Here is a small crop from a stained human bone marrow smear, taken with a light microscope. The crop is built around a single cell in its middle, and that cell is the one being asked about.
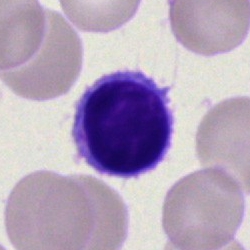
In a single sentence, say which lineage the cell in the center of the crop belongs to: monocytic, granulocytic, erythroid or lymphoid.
The cell at the middle of this crop is assigned to the lymphoid lineage.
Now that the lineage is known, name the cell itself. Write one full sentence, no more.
The cell under consideration, at the middle of the crop, is a lymphocyte.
